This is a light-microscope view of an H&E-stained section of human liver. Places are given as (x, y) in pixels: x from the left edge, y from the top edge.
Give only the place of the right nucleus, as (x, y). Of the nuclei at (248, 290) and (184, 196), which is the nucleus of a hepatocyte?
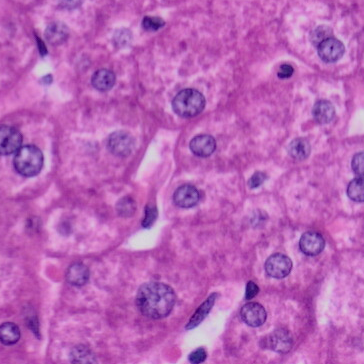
(184, 196)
